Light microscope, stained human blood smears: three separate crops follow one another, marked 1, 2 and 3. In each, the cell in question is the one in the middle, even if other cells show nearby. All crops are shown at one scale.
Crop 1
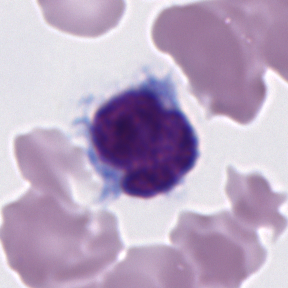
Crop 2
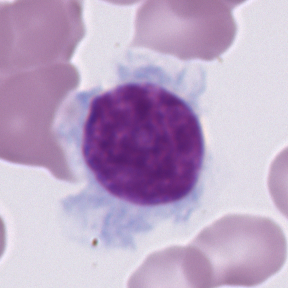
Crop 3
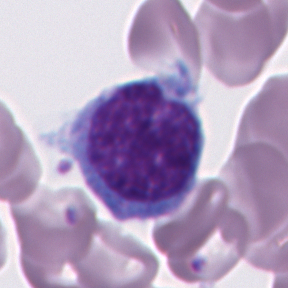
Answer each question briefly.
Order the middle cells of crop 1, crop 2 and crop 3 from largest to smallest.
2, 3, 1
